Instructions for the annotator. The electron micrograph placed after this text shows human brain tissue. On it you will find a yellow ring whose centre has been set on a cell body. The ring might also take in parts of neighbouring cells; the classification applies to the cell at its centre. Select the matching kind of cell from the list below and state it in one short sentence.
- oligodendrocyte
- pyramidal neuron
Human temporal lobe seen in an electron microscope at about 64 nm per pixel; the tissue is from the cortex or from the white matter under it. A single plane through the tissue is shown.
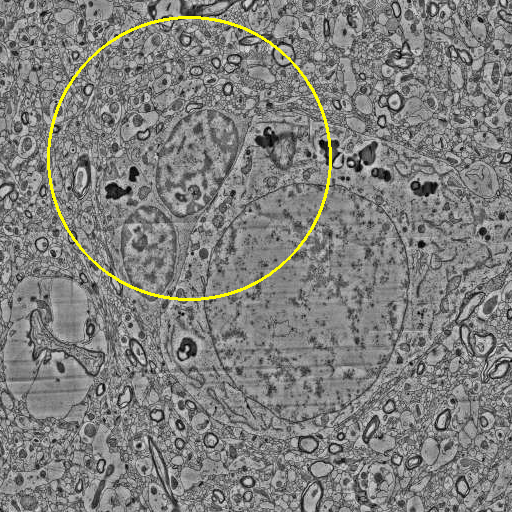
The ring is drawn on the cell body of an oligodendrocyte.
